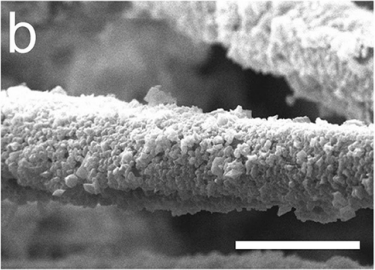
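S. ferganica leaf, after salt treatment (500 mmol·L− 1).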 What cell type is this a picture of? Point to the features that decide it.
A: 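Trichome. A long cylindrical hair crosses the field horizontally. Its surface is densely coated with small granular deposits.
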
